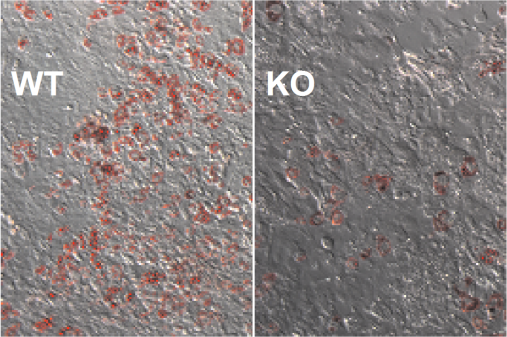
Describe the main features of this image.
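This is a cultured cell layer in which some cells have become adipocytes. These are rounded cells filled with small red-stained lipid droplets, and they sit among flat, elongated, unstained cells that form a grey background sheet. The red cells are dense and clustered in the left half but sparse in the right half.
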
